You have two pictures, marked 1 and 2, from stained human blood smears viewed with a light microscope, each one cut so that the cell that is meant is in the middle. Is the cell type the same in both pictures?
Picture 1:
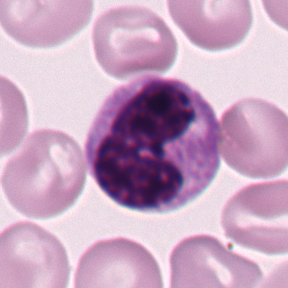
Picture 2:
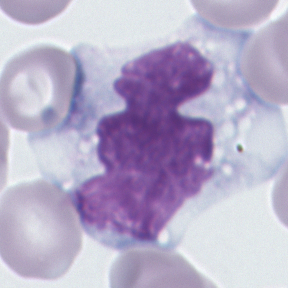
no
